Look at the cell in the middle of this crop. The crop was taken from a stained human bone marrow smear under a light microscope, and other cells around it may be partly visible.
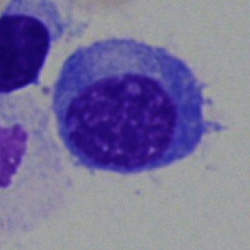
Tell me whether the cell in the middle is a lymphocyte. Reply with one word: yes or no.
no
